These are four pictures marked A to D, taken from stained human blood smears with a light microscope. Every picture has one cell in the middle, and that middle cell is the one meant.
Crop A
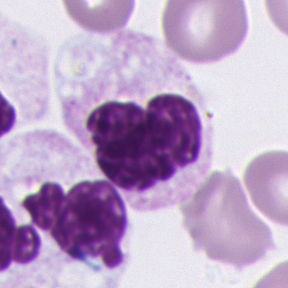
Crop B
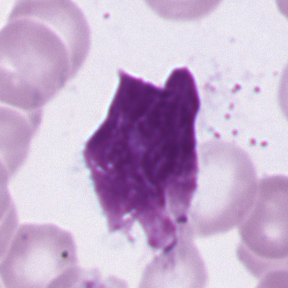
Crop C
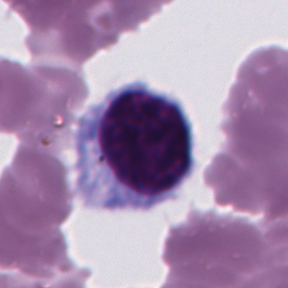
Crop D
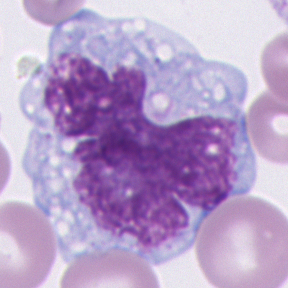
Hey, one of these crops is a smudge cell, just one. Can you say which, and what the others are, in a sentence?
Crop B features a smudge cell, while crop A is a segmented neutrophil, crop C is a hairy cell and crop D is a monocyte.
